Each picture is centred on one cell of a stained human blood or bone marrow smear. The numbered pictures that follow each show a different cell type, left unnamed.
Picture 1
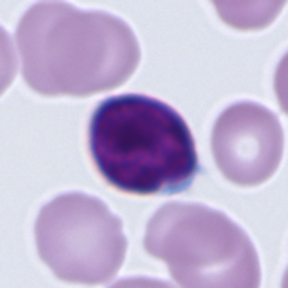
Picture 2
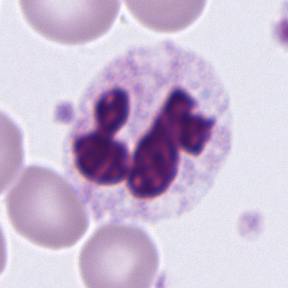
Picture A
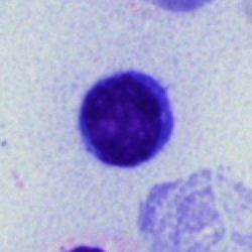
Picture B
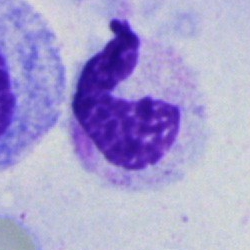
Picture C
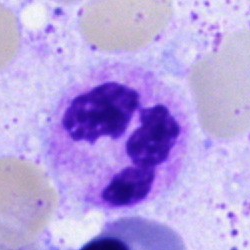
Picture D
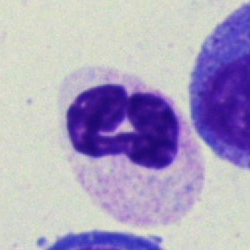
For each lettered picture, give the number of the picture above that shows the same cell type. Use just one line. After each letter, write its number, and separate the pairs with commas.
A 1, B 2, C 2, D 2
